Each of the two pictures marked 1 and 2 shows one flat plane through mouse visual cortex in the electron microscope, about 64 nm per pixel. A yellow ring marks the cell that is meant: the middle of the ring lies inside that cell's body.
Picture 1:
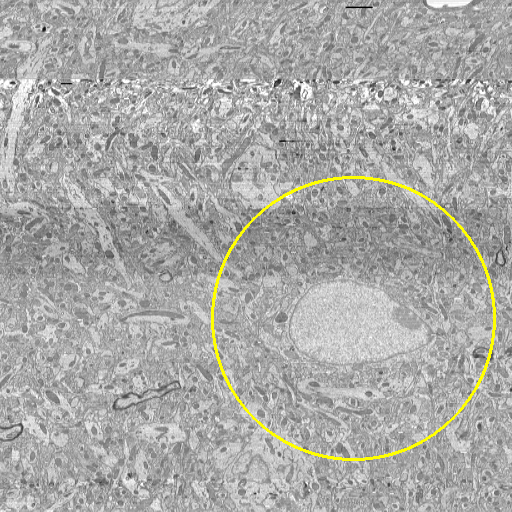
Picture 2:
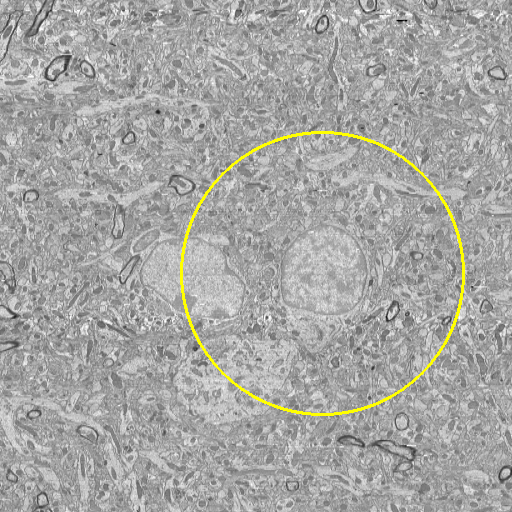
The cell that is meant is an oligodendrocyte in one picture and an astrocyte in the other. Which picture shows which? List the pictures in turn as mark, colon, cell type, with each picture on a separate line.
1: astrocyte
2: oligodendrocyte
